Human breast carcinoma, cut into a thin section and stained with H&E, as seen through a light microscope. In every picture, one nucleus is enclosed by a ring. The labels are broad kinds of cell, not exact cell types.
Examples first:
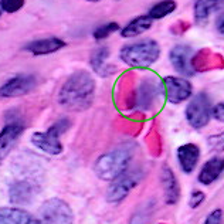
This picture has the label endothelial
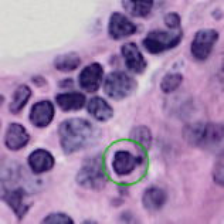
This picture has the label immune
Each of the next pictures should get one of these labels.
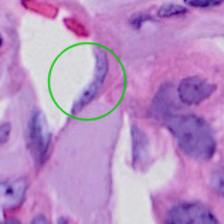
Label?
endothelial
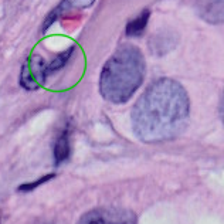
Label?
endothelial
